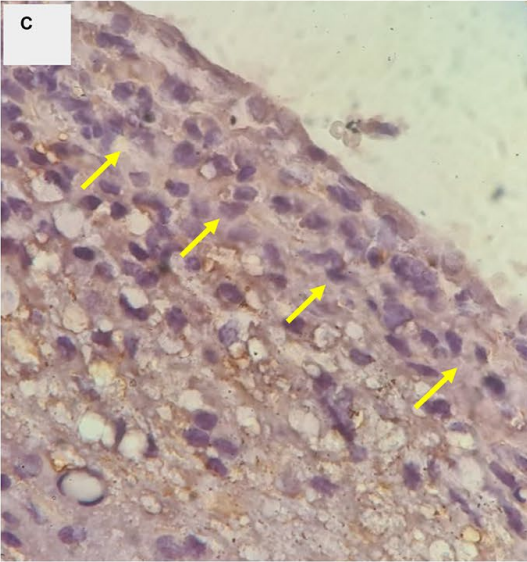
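Near the free surface, many oval to elongated blue nuclei lie packed closely in several rows, with little pale space between them. Brown staining is scattered through the tissue between the cells and is heavier deeper in, where the tissue also holds many small clear vacuoles. The cells form a dense band running along the edge rather than being spread evenly apart.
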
